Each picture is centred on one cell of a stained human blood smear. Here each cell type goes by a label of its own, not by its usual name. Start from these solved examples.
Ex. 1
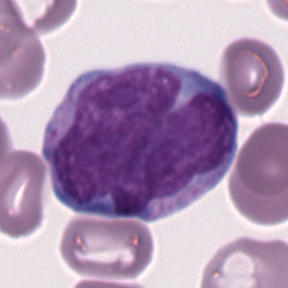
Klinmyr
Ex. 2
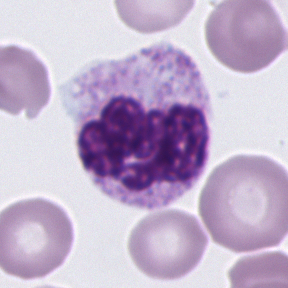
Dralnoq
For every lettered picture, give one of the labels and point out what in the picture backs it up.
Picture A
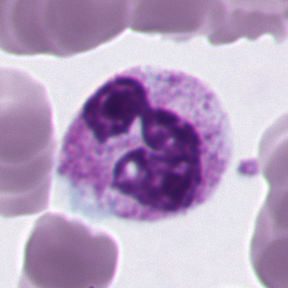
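Dralnoq. Reason: The cytoplasm is abundant and pale pinkish-lilac.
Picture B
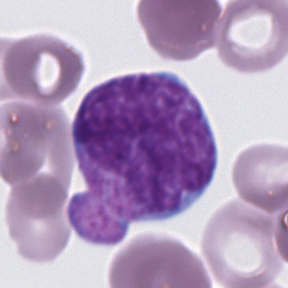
Klinmyr. Reason: The nucleus fills almost the whole cell.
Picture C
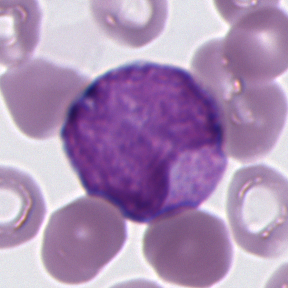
Klinmyr. Reason: The nucleus fills most of the cell.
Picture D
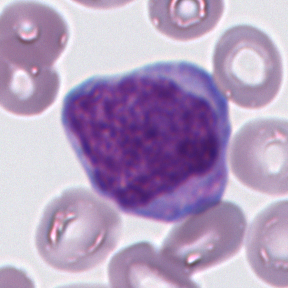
Klinmyr. Reason: The cytoplasm forms a narrow rim that is wider on the right side than on the left.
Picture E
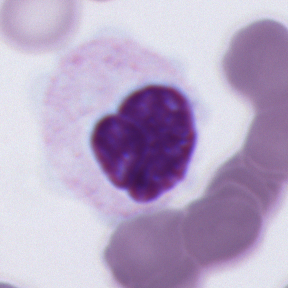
Dralnoq. Reason: The cytoplasm is abundant compared with the nucleus.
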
